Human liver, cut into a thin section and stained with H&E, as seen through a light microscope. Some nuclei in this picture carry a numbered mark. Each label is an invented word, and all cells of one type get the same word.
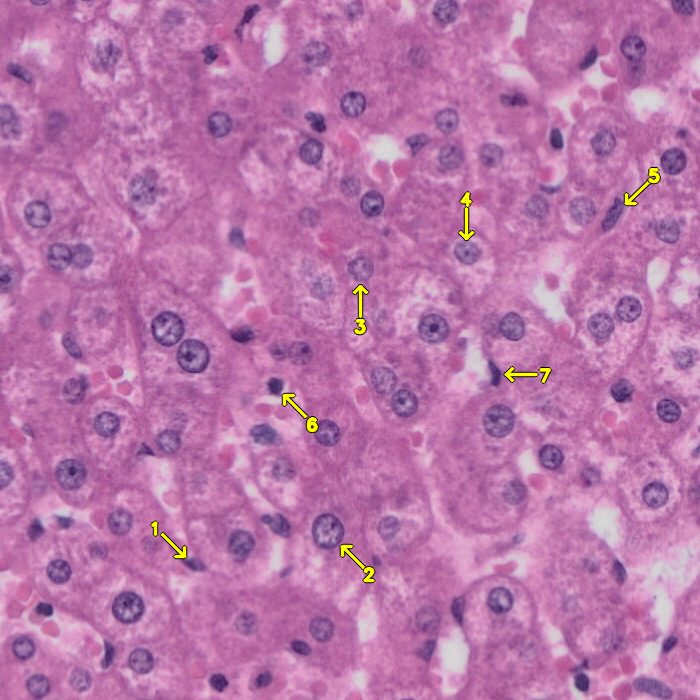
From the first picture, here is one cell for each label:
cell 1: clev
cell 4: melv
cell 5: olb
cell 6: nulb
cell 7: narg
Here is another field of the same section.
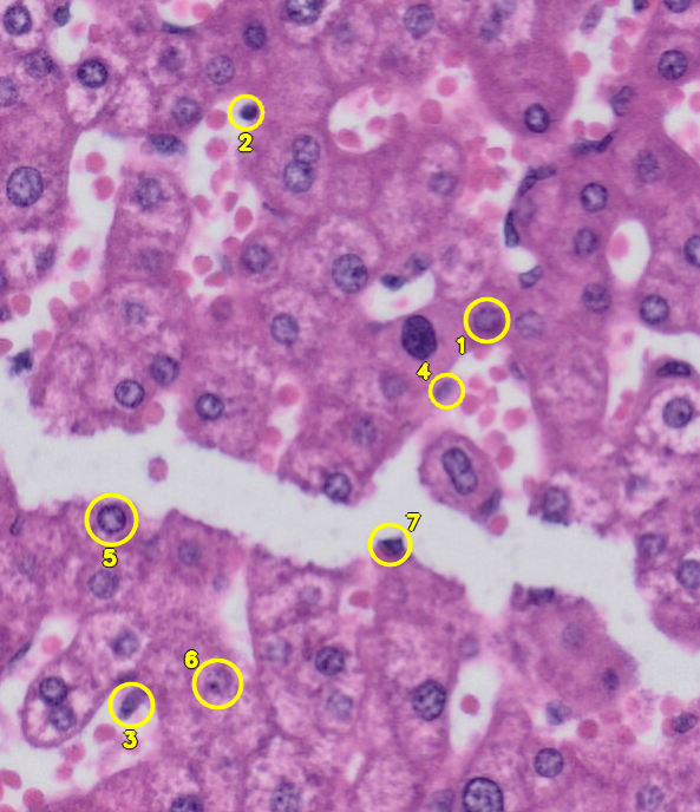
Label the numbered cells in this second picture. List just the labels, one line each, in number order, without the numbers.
melv
nulb
olb
olb
melv
melv
clev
